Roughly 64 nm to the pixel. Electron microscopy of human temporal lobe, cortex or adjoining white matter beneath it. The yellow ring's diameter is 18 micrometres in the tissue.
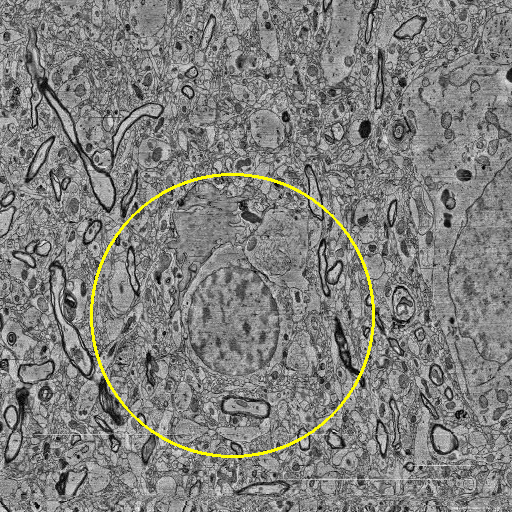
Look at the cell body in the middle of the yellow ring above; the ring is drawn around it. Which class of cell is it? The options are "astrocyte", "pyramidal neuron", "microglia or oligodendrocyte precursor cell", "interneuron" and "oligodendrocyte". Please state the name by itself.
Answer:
oligodendrocyte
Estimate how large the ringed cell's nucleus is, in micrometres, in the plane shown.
Roughly 7 by 6 micrometres is the size of the nucleus in this plane.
